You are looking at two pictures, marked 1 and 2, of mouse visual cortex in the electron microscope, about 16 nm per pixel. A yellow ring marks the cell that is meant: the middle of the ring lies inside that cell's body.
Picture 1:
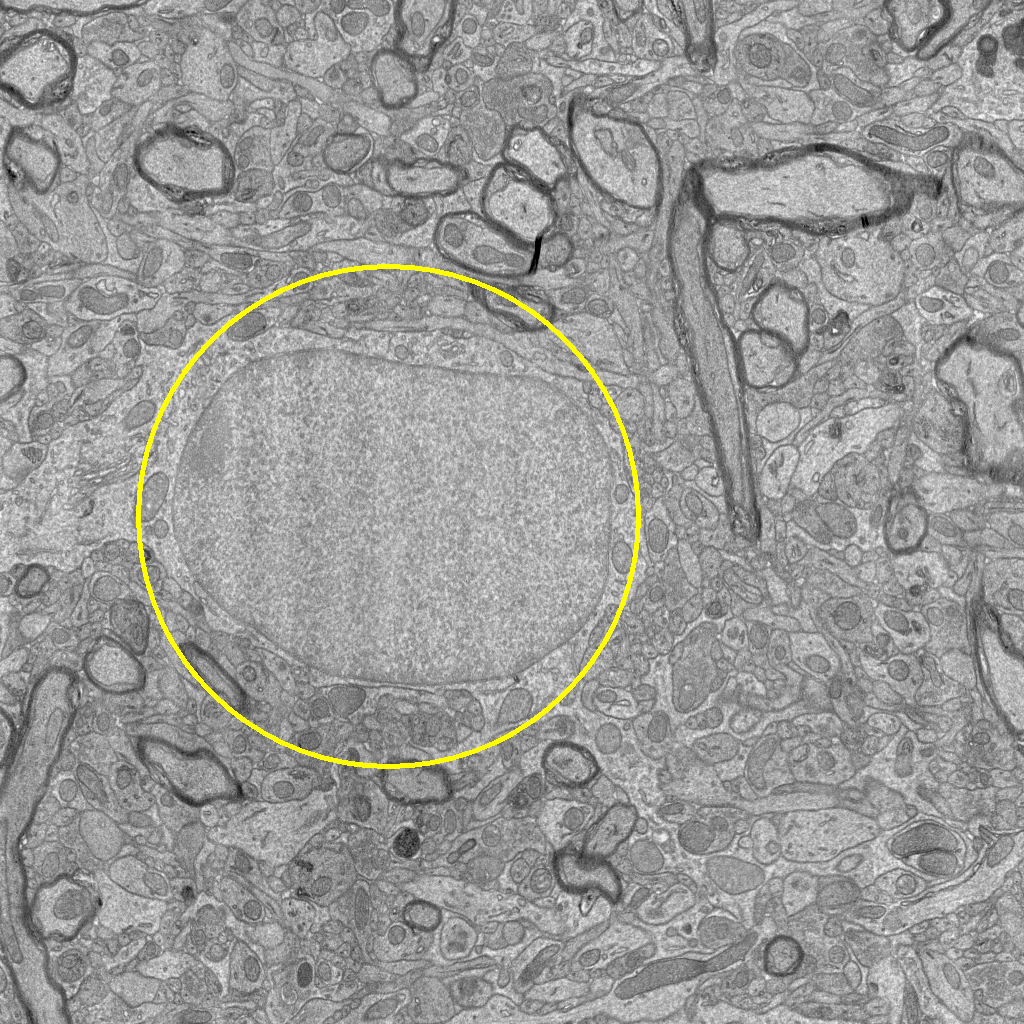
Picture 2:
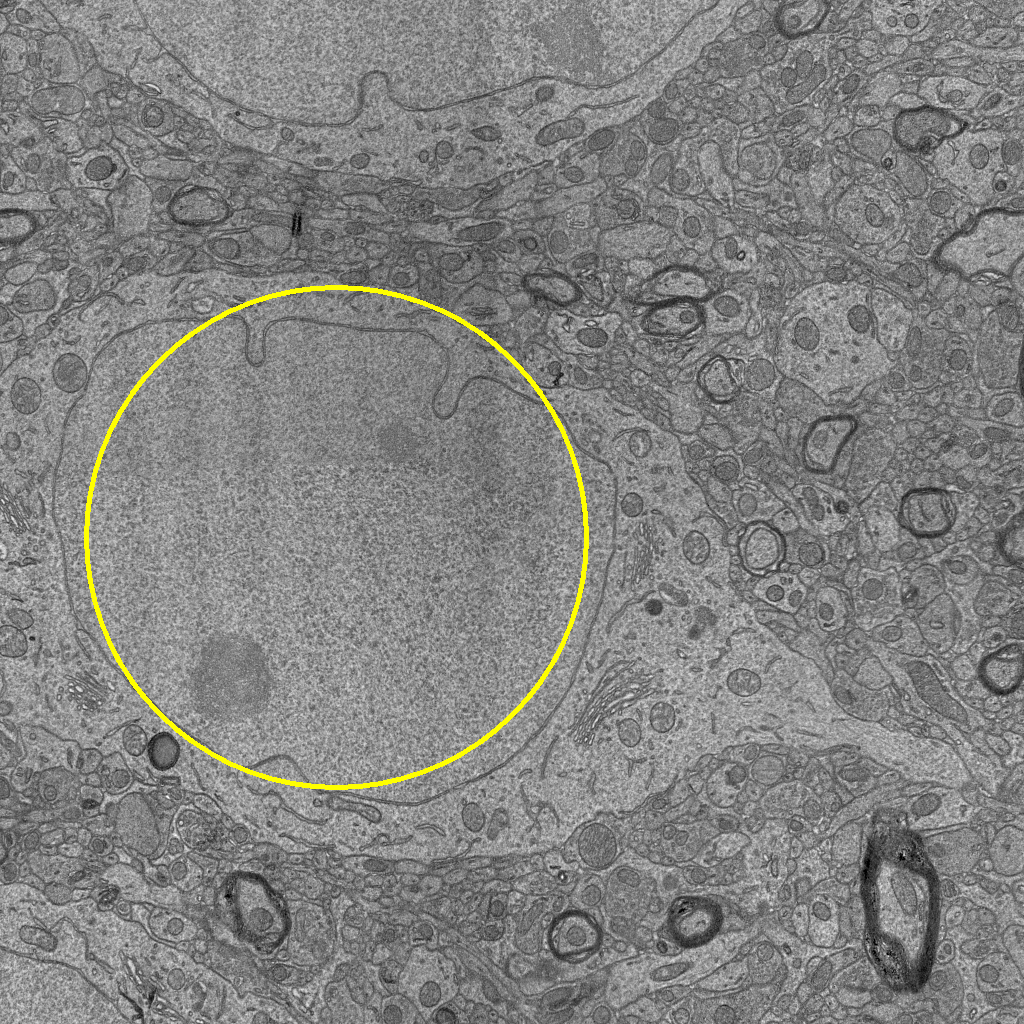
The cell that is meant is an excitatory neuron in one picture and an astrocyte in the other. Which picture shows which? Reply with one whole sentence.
In picture 1 the cell is an astrocyte; in picture 2, an excitatory neuron.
